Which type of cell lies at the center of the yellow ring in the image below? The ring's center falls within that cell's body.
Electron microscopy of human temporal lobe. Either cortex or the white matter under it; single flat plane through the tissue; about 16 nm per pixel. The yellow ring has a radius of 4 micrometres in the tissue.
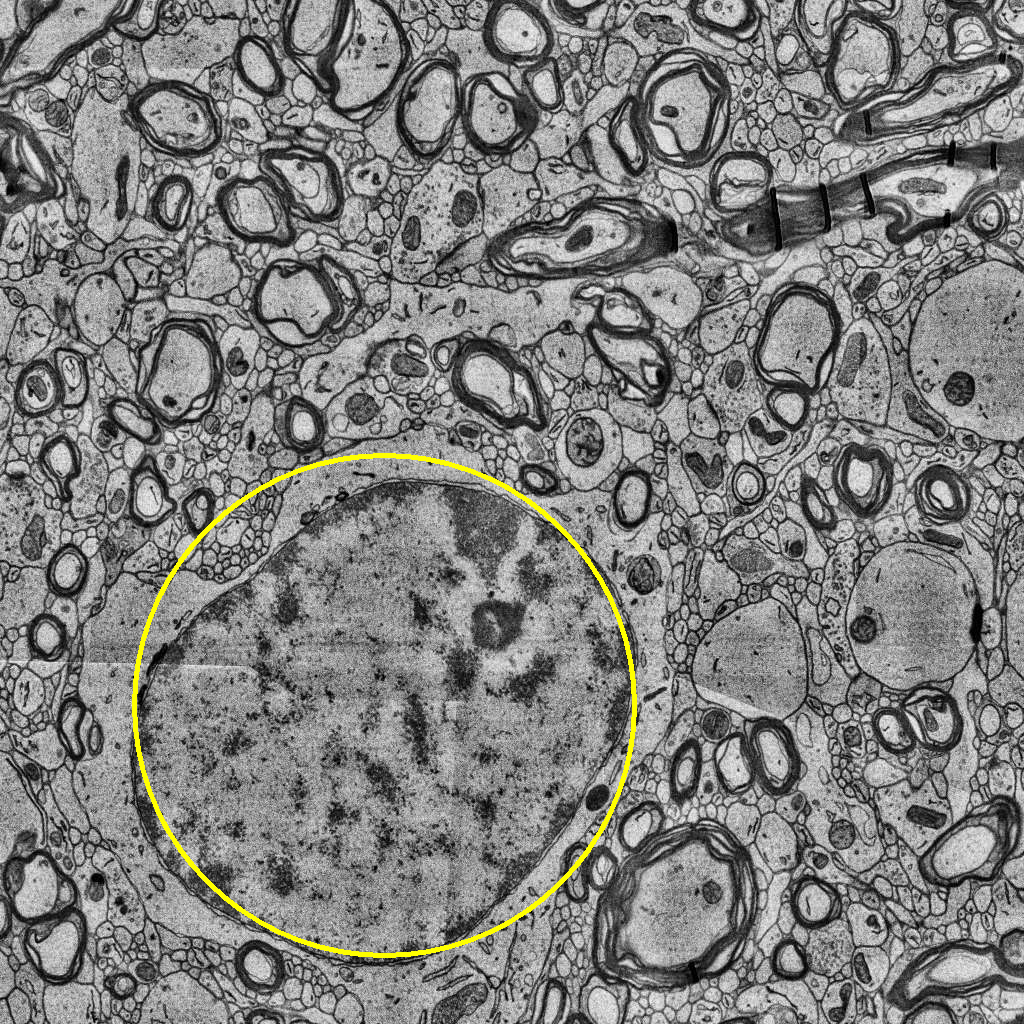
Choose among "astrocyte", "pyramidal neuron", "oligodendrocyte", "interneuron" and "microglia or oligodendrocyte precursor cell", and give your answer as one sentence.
The cell body at the center belongs to a microglial cell or oligodendrocyte precursor cell.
